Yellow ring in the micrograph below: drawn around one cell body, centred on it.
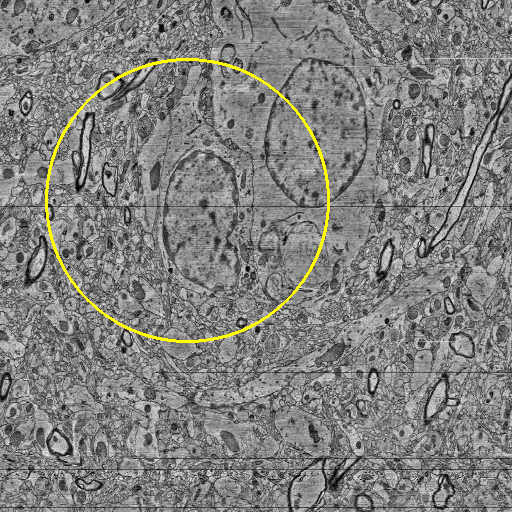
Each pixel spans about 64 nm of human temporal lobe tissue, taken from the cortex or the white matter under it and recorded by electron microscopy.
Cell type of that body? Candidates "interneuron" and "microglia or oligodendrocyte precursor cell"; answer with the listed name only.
microglia or oligodendrocyte precursor cell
